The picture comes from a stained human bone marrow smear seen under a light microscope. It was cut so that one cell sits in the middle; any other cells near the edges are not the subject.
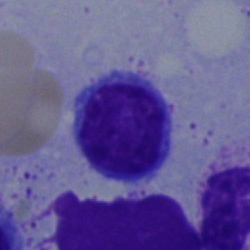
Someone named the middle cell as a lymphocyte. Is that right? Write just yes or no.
yes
